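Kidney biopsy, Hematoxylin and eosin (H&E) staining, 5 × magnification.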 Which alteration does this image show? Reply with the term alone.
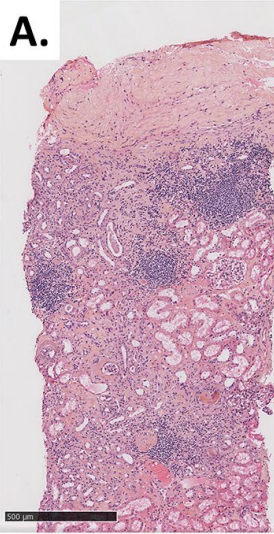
Lymphoid interstitial infiltrates.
